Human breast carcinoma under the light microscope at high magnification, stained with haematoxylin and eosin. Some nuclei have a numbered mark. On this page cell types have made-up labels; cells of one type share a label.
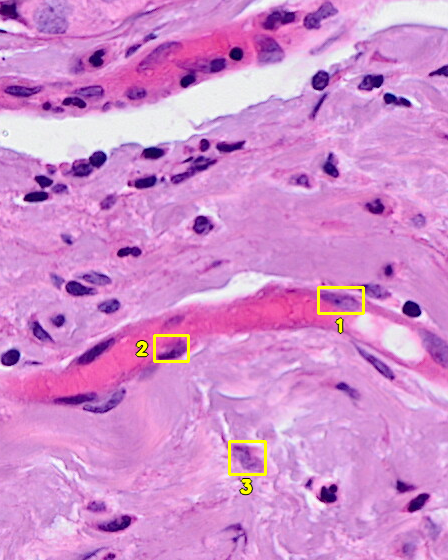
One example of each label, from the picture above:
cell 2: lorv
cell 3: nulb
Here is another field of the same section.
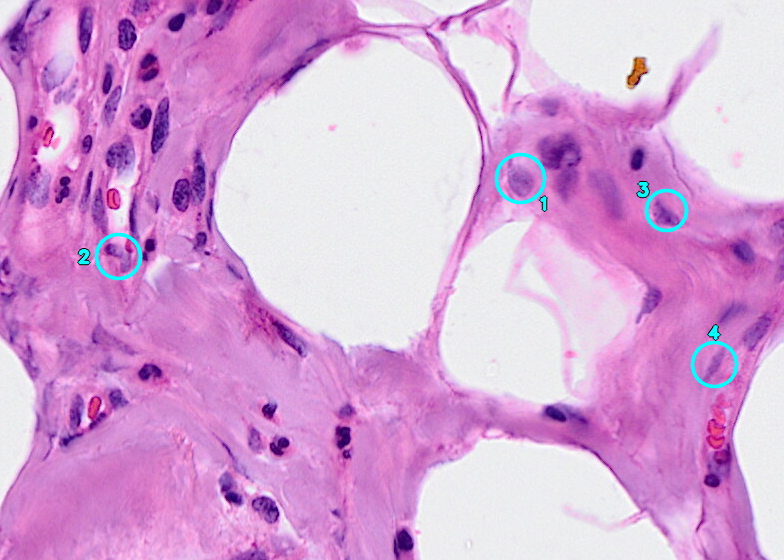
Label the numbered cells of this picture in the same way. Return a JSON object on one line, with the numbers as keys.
{"1": "nulb", "2": "lorv", "3": "nulb", "4": "nulb"}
